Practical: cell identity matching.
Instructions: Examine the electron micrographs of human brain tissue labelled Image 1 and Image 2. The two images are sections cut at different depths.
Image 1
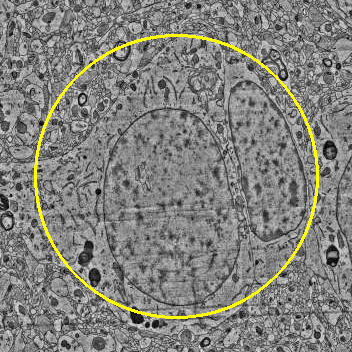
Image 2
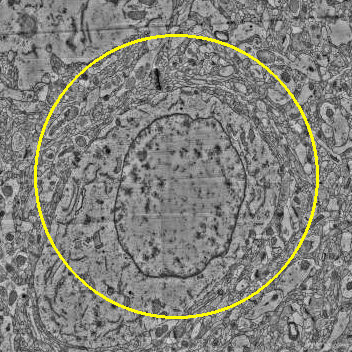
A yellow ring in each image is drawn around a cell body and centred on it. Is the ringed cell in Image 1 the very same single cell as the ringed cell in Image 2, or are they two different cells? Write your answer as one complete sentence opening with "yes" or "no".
No, the two yellow rings each circle a different cell.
